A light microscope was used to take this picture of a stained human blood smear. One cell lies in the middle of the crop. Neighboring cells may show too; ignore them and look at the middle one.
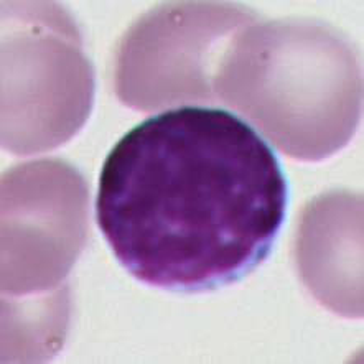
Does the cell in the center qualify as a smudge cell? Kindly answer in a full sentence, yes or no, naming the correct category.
No, the central cell does not count as a smudge cell; it is a typical lymphocyte.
